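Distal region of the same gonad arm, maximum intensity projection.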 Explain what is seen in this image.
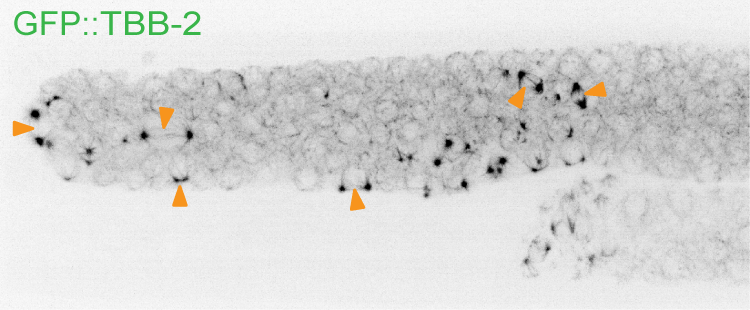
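Scattered among them are small, intensely dark foci, often in pairs, lying within single cells. The right part of the tube shows only the faint cell outlines.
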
